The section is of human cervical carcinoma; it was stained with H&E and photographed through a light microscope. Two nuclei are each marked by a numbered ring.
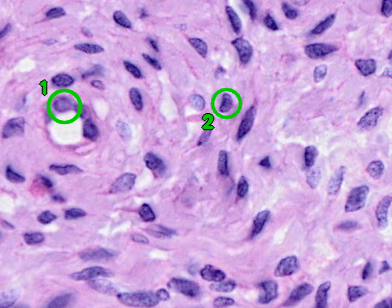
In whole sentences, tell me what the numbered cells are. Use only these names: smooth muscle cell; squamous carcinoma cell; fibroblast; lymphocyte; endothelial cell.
Cell 1 is an endothelial cell. Cell 2 is a fibroblast.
